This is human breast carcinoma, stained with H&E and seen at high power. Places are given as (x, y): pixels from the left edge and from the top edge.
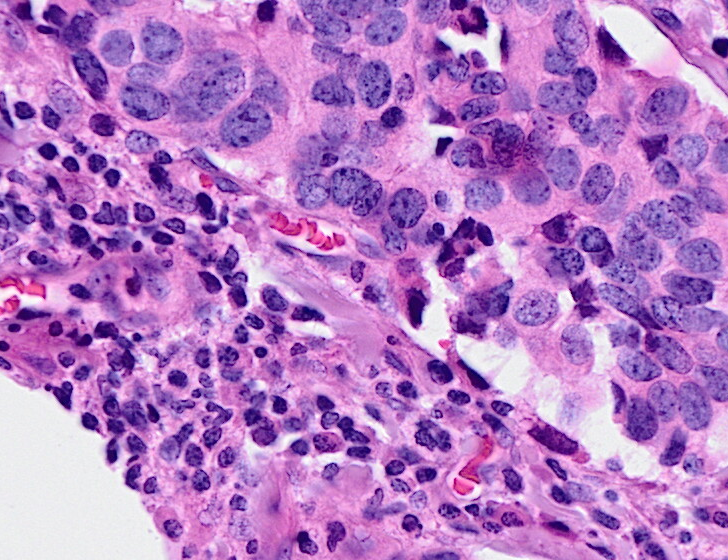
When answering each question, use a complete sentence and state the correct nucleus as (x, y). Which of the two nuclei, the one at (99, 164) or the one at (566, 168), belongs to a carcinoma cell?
The correct choice is the nucleus at (566, 168), which belongs to a carcinoma cell.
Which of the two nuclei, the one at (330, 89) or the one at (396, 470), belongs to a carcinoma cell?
That would be the nucleus at (330, 89); it belongs to a carcinoma cell.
